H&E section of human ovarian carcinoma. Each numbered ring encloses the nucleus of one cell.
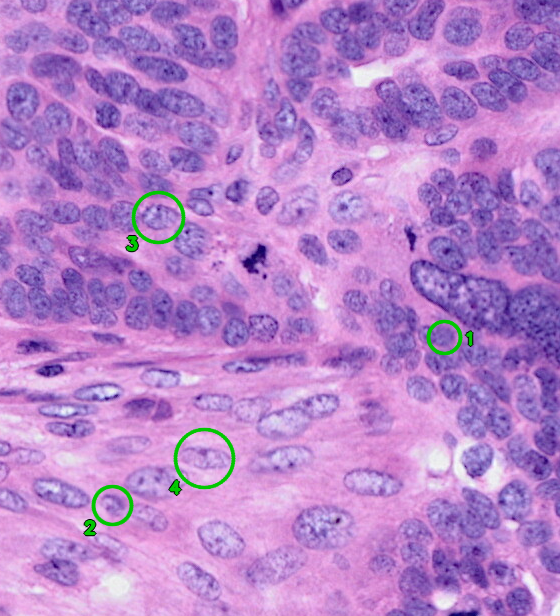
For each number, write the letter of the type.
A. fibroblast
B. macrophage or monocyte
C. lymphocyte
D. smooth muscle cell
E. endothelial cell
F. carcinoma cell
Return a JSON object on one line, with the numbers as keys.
{"1": "F", "2": "A", "3": "F", "4": "A"}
